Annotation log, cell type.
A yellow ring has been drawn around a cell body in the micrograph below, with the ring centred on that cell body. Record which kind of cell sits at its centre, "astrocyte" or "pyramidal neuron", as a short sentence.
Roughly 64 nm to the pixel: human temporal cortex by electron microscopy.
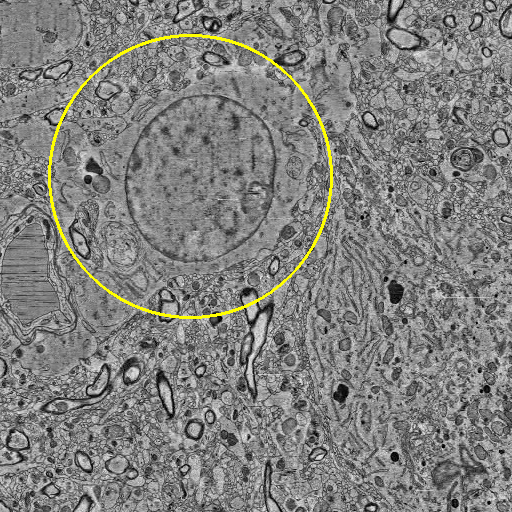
The cell at the centre of this ring is an astrocyte.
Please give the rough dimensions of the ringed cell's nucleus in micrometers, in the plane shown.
In this plane the nucleus measures roughly 11 by 9 micrometres.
